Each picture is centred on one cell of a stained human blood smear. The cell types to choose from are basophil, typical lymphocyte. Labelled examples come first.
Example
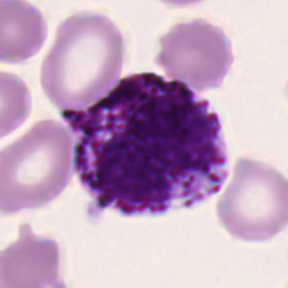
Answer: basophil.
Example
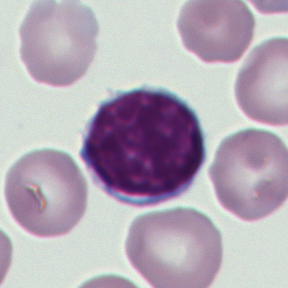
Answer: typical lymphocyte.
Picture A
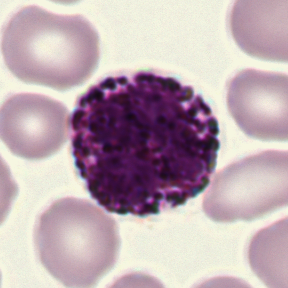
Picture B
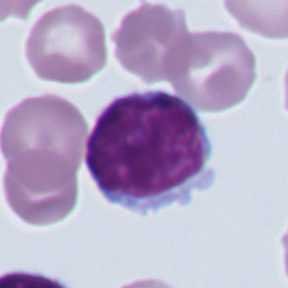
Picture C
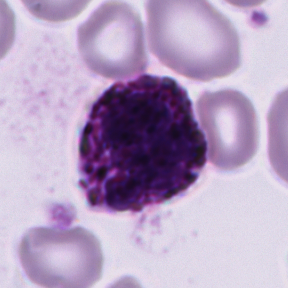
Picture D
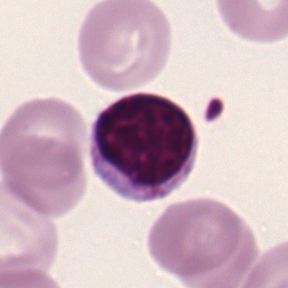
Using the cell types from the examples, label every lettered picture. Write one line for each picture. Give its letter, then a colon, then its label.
A: basophil.
B: typical lymphocyte.
C: basophil.
D: typical lymphocyte.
